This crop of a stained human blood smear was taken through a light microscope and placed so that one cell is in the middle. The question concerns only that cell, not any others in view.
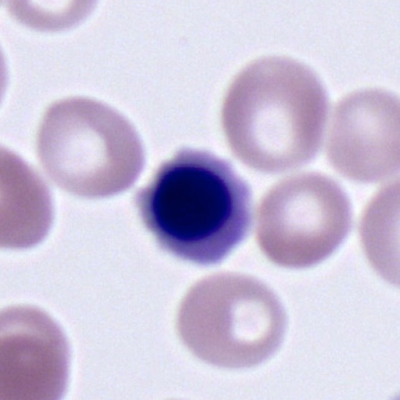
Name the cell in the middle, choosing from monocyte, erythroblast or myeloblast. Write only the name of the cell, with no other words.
erythroblast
